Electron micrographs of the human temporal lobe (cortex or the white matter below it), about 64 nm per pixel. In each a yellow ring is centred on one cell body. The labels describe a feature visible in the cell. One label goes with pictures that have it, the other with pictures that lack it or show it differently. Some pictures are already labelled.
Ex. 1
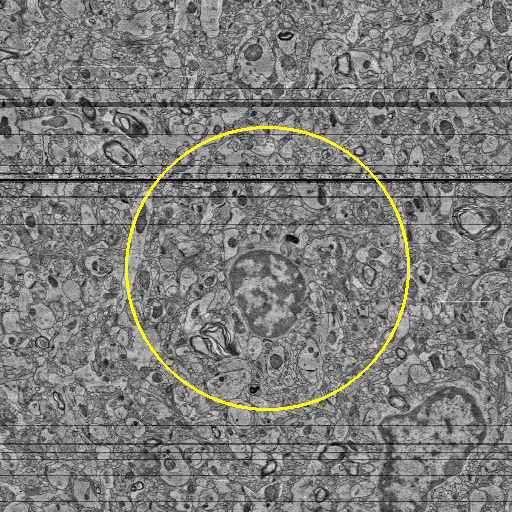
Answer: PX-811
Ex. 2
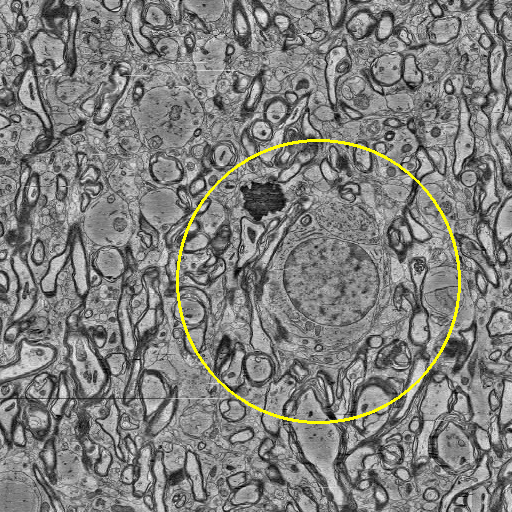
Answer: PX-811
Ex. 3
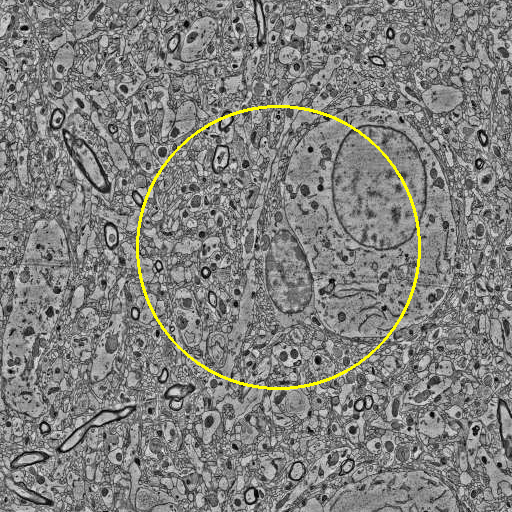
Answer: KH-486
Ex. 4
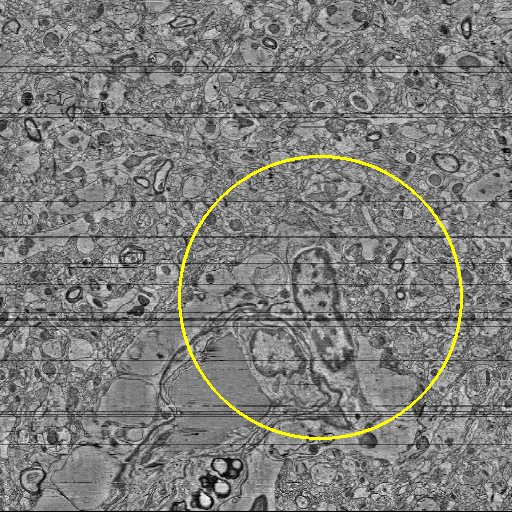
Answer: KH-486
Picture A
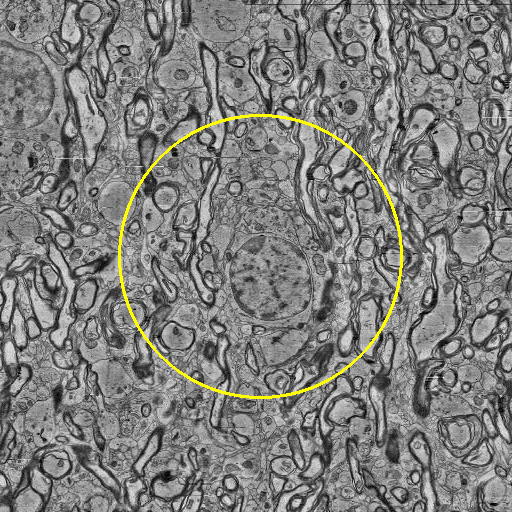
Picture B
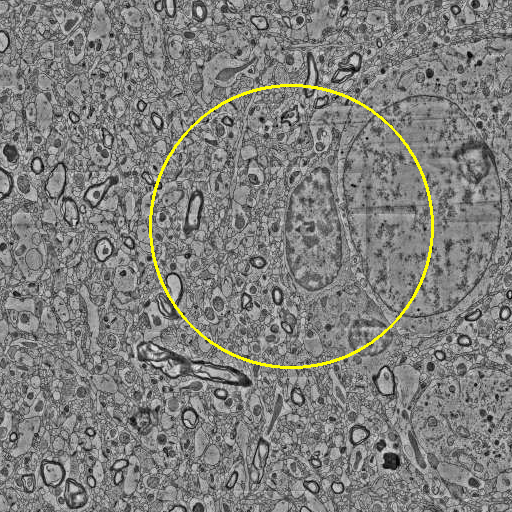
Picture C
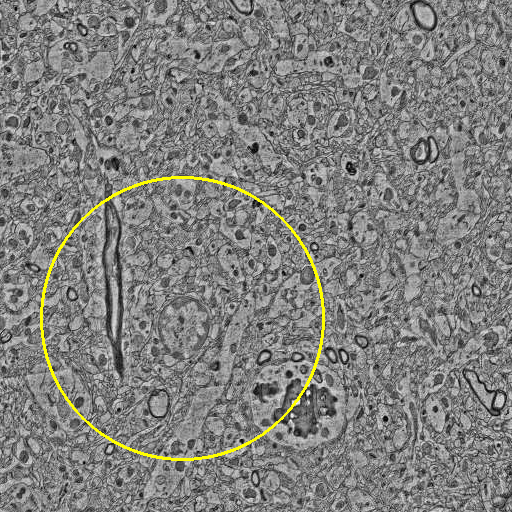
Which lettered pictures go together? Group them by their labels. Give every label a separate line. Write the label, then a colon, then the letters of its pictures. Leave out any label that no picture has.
PX-811: A, C
KH-486: B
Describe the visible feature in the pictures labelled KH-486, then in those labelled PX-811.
Seen in KH-486: clearly elongated nuclei; seen in PX-811: round or nearly round nuclei.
